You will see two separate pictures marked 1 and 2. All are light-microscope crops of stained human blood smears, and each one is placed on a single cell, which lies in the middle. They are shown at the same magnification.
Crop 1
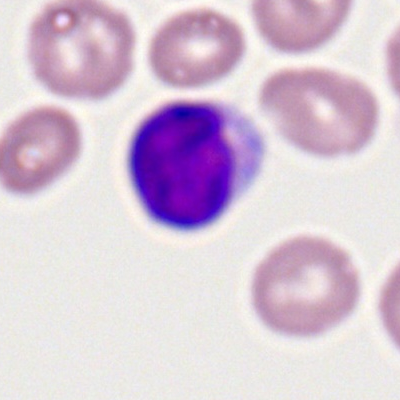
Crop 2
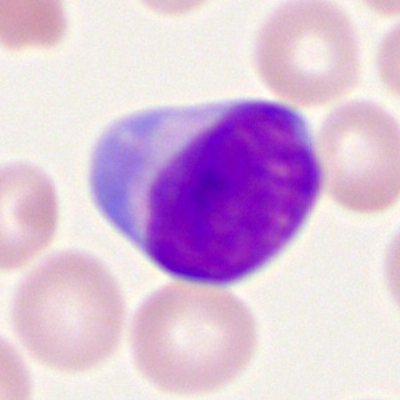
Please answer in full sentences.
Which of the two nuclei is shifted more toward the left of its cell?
It is the nucleus in crop 1 that lies further toward the left of its cell.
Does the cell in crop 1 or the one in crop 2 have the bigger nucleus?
It is the nucleus in crop 2, about 2 times as large in area as the one in crop 1.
